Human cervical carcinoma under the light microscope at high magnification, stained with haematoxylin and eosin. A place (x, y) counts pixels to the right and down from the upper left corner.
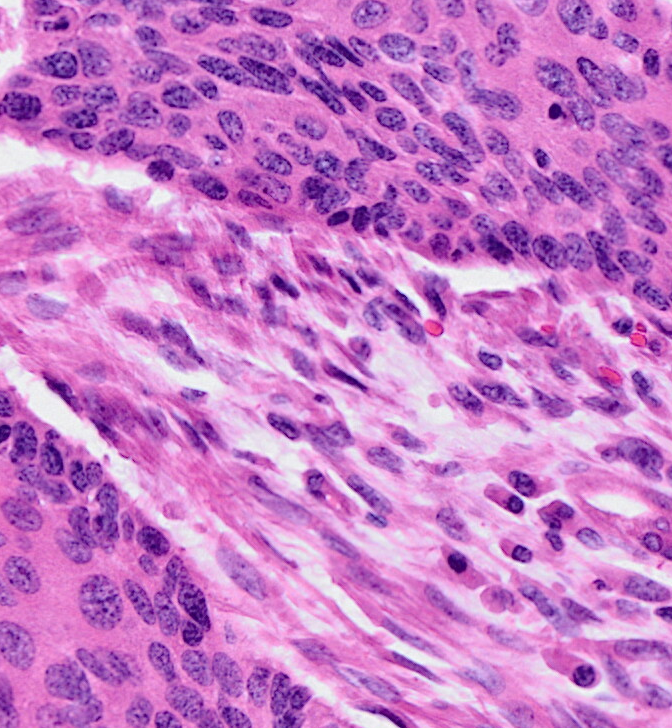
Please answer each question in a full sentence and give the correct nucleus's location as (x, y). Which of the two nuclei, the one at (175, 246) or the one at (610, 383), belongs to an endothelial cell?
The nucleus whose cell is an endothelial cell is the one at (610, 383).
